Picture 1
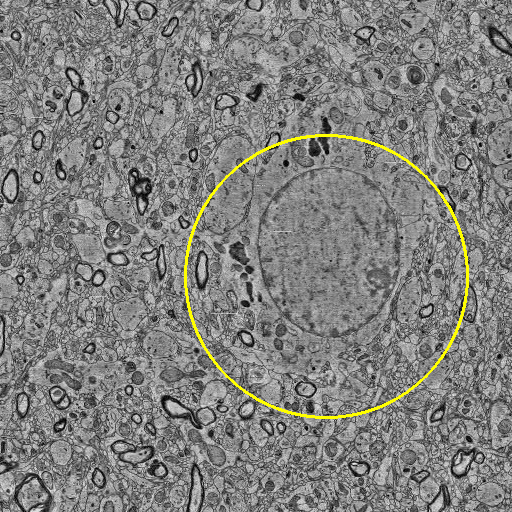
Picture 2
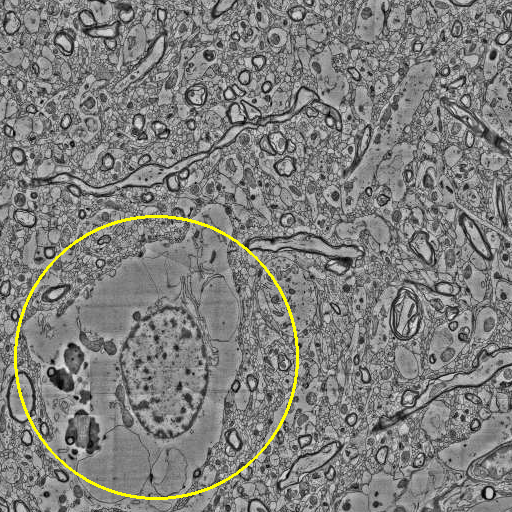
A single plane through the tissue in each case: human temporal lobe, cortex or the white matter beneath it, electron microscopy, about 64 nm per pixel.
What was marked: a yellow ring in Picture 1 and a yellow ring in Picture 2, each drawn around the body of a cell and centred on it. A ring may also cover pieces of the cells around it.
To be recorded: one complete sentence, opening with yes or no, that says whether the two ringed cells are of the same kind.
Yes, the two ringed cells are of the same kind.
